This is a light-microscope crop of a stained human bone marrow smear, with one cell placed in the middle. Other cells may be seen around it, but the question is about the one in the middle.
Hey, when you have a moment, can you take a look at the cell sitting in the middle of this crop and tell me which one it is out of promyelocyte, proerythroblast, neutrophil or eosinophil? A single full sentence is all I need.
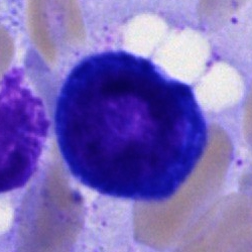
The centered cell in this crop is a proerythroblast.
